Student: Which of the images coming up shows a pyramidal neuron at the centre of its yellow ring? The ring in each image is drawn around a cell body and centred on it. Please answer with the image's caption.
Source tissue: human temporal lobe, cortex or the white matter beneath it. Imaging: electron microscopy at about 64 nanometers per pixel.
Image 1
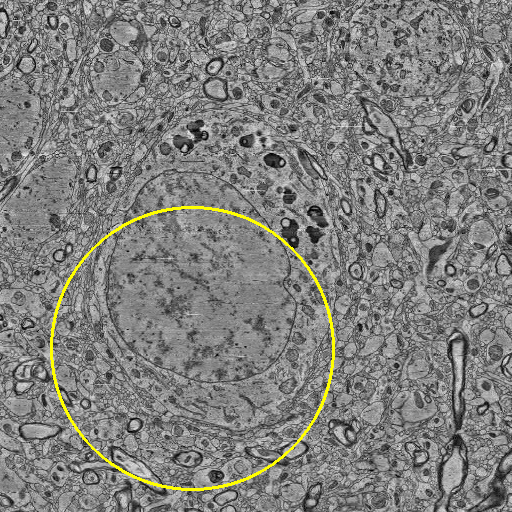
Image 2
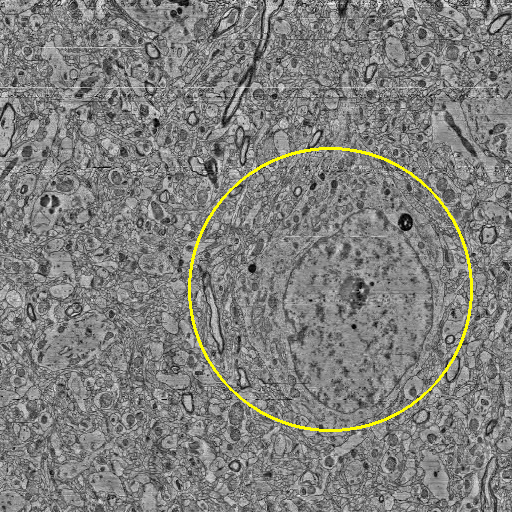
Image 1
